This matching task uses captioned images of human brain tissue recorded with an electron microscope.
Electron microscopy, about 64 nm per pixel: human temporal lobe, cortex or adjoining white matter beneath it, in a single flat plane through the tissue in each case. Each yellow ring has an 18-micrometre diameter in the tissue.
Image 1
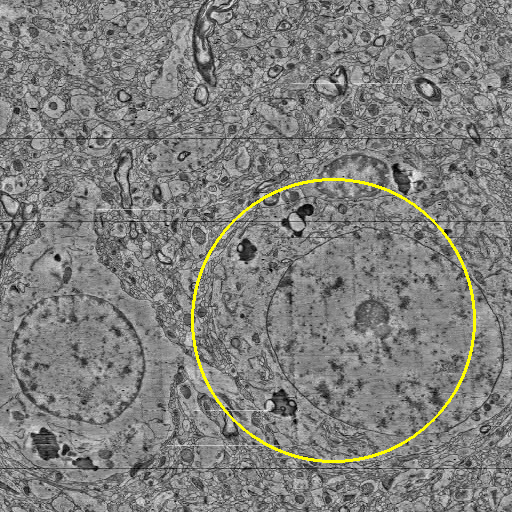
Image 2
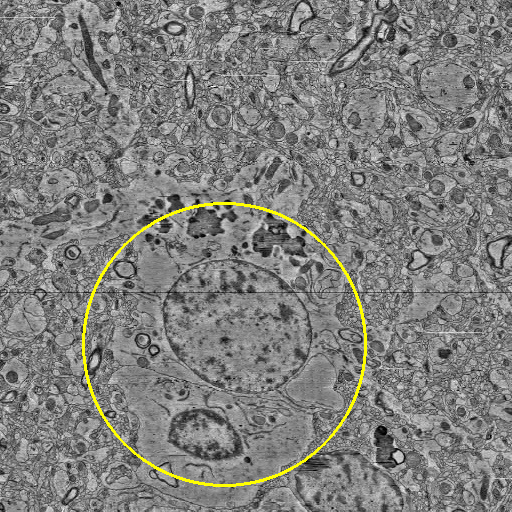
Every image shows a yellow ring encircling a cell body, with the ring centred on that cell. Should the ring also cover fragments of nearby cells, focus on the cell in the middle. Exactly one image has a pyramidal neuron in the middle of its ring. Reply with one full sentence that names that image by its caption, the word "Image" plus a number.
Image 1 shows the cell in question at the centre of its yellow ring.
